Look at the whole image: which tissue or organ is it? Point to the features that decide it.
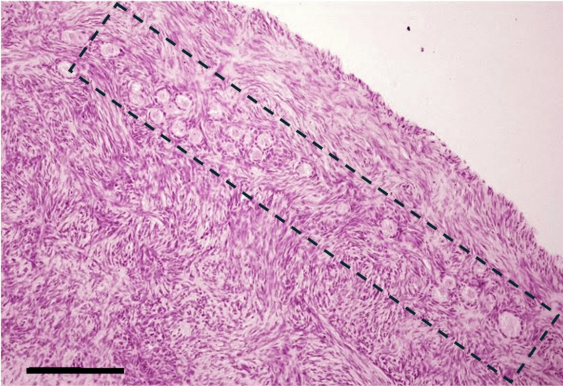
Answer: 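Peripheral region of the ovarian cortex. A free tissue surface runs along the upper right edge. Dense stroma of spindle-shaped cells fills the tissue. Small pale round follicle-like structures lie in a band beneath the surface.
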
